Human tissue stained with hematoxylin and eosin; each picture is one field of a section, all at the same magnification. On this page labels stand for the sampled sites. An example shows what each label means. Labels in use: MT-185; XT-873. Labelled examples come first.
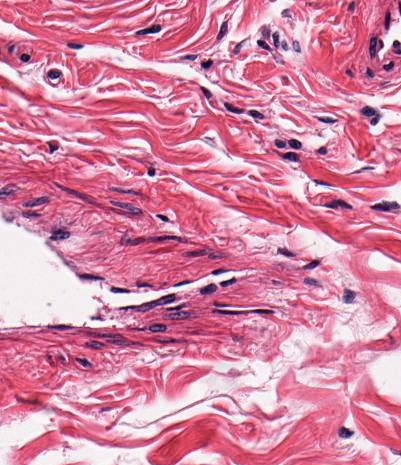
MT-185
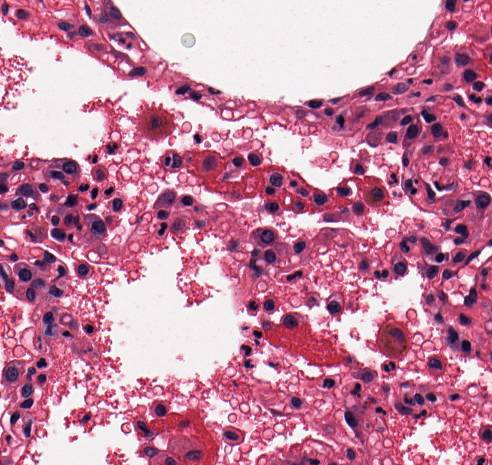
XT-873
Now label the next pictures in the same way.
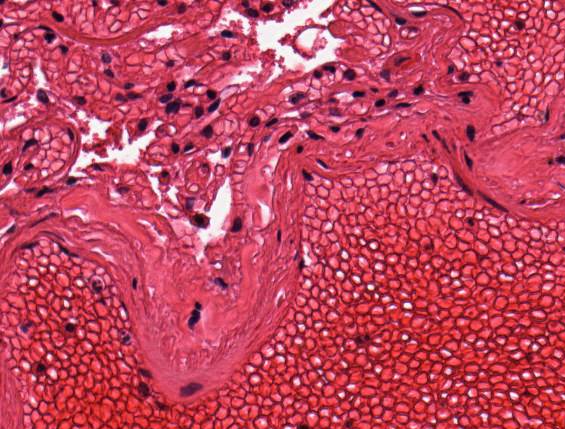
XT-873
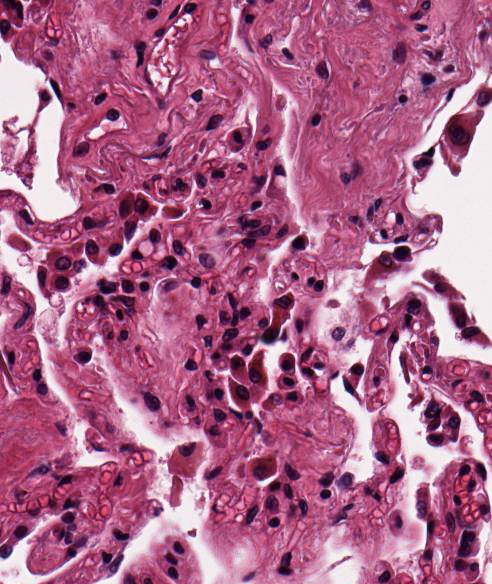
XT-873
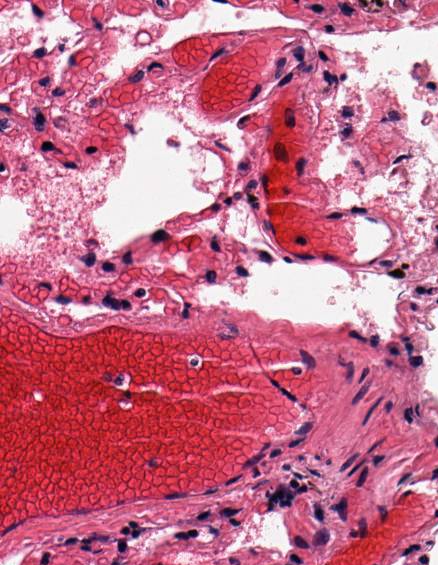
XT-873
